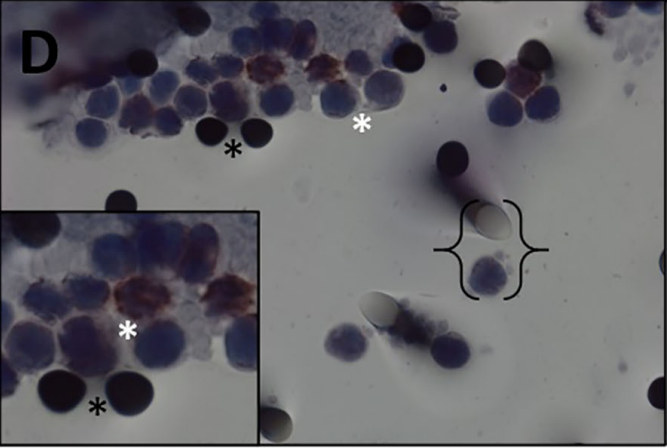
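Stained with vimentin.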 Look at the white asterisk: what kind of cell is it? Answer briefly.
leukocytes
